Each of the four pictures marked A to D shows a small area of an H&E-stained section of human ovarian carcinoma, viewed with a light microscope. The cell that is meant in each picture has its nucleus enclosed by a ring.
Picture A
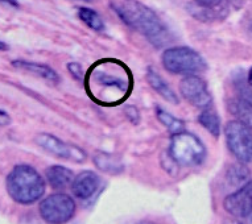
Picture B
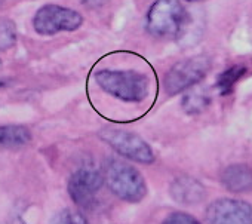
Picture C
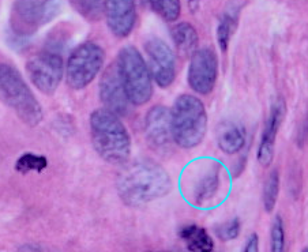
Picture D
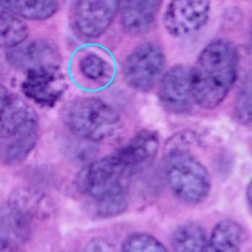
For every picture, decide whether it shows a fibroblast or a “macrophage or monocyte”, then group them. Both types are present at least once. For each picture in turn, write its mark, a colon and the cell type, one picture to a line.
A: fibroblast
B: macrophage or monocyte
C: fibroblast
D: macrophage or monocyte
